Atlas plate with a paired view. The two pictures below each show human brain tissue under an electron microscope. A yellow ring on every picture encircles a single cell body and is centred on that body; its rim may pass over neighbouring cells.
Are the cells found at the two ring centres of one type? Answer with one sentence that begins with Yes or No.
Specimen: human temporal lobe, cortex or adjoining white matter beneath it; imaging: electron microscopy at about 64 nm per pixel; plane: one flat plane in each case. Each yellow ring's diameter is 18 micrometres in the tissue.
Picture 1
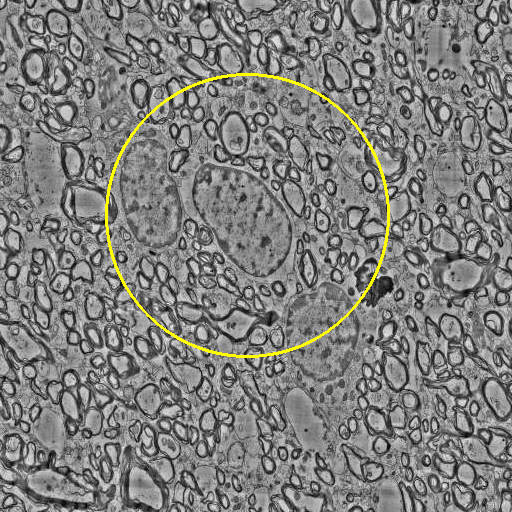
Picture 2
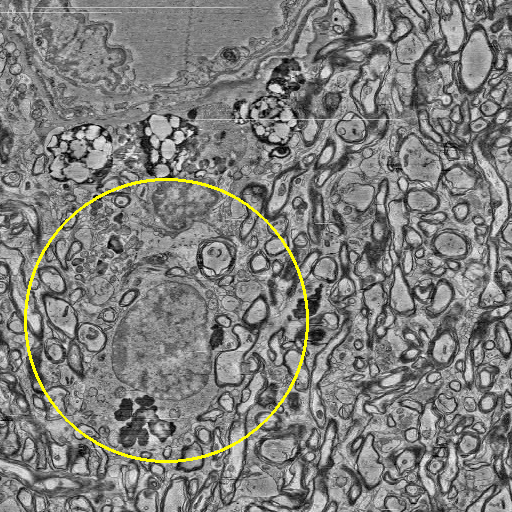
No, the two cells lying at the centres of the rings are of two types.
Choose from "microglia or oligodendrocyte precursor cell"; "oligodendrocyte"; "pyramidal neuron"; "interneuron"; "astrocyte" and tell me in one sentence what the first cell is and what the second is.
What the first ring is centred on is a microglial cell or oligodendrocyte precursor cell; what the second ring is centred on is an oligodendrocyte.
